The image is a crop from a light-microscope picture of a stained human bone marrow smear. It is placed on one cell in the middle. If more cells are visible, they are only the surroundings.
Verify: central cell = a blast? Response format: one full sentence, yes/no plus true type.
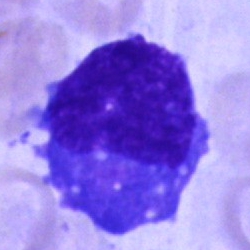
Yes, it is a blast that occupies the centre of the crop.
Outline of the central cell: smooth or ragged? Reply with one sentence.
The outer contour of the cell is irregular, with ragged portions or projections along it.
